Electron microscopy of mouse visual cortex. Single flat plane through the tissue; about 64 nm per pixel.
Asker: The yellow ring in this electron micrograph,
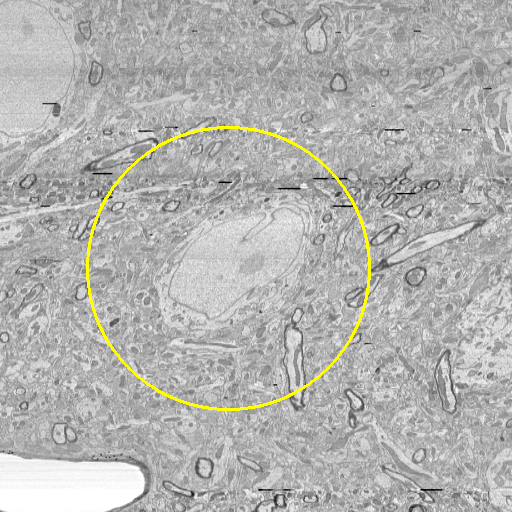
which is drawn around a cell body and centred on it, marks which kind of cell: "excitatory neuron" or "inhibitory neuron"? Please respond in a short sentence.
The marked cell is an inhibitory neuron.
